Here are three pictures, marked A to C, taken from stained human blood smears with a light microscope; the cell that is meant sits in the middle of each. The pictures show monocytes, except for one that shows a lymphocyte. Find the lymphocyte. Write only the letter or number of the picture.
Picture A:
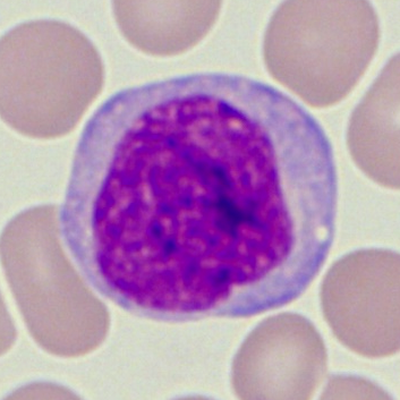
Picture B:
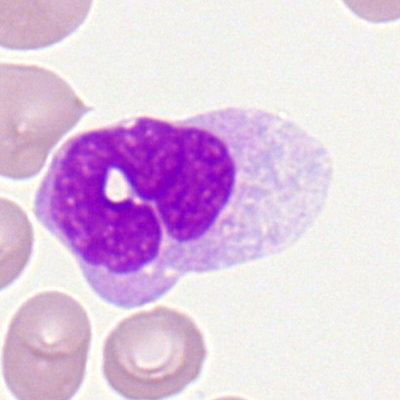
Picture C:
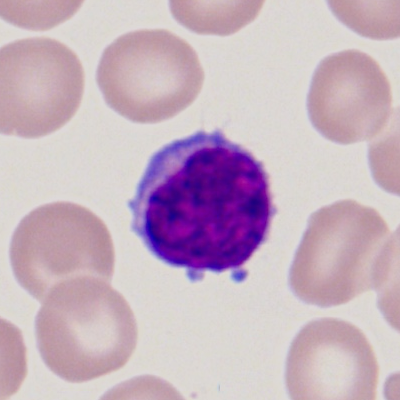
C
